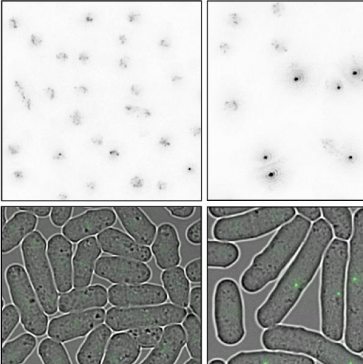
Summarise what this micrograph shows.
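Rod-shaped yeast cells with rounded ends, seen in differential interference contrast, lie closely packed side by side and end to end. The fluorescent signal, shown dark on a light ground in the upper row, sits as small diffuse patches, one per cell, with few sharp dots. In the right-hand pair the cells appear longer, and several contain a single sharp, intense dot within a faint halo. In the merged lower row these dots show as green points lying inside the cell bodies. The cell walls are smooth and the cytoplasm is finely granular throughout.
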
